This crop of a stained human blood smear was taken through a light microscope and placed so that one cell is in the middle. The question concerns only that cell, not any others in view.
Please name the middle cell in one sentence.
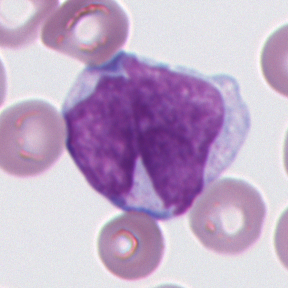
The middle of this crop holds an atypical promyelocyte.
